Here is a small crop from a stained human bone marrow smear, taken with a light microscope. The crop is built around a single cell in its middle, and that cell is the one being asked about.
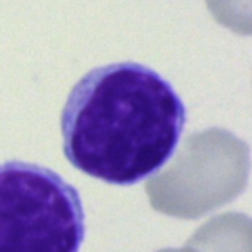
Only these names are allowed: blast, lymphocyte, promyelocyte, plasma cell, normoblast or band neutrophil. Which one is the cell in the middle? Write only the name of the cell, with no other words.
lymphocyte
